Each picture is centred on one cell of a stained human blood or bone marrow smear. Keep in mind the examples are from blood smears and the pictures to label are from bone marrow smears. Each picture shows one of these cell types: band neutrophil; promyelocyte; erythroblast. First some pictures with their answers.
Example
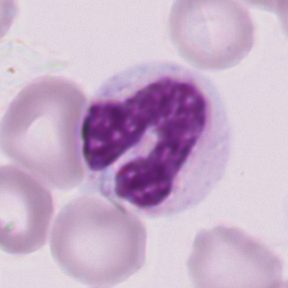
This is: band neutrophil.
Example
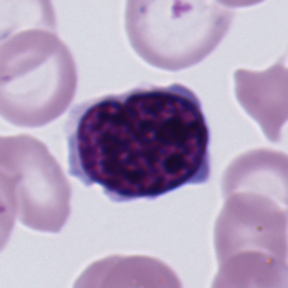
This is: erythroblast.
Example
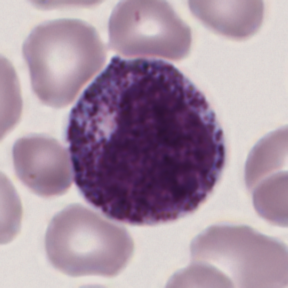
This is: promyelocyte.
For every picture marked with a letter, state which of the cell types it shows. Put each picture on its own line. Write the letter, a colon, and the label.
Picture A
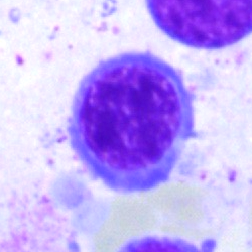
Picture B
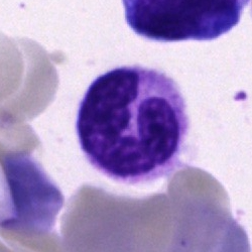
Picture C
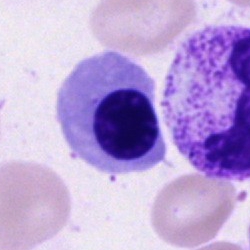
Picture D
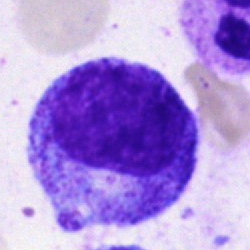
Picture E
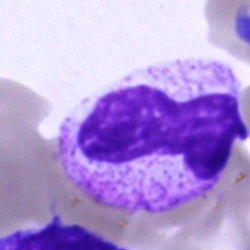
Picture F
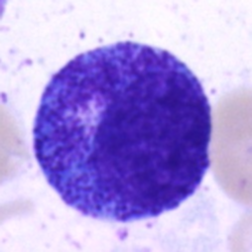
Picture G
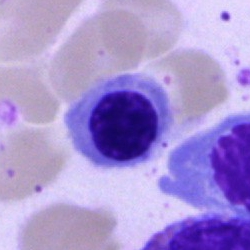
A: erythroblast.
B: band neutrophil.
C: erythroblast.
D: promyelocyte.
E: band neutrophil.
F: promyelocyte.
G: erythroblast.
